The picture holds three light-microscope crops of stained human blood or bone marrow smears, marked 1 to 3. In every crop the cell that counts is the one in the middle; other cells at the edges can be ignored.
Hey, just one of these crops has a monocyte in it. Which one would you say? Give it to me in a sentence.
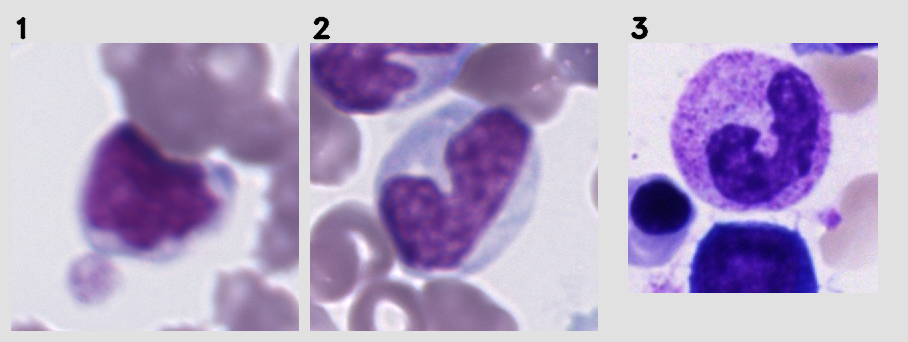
Of the cells presented, the one in crop 2 is a monocyte.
